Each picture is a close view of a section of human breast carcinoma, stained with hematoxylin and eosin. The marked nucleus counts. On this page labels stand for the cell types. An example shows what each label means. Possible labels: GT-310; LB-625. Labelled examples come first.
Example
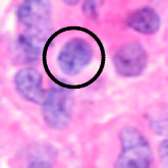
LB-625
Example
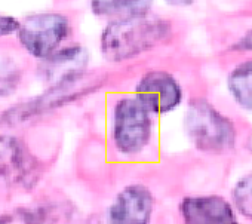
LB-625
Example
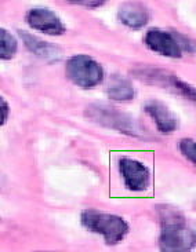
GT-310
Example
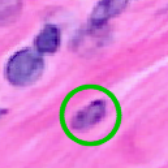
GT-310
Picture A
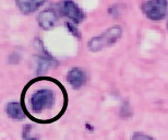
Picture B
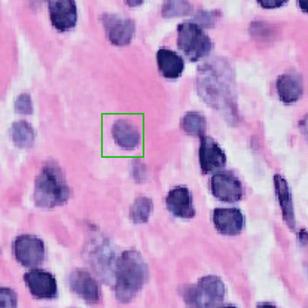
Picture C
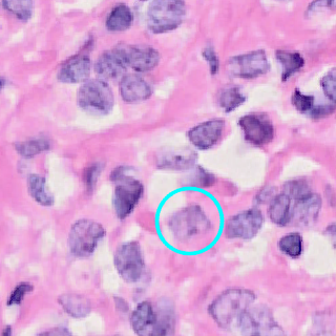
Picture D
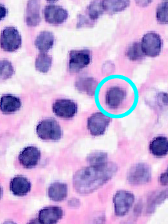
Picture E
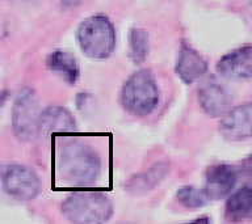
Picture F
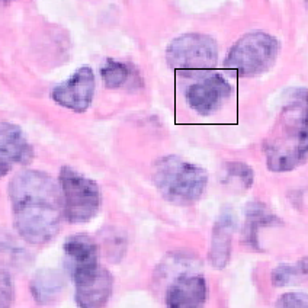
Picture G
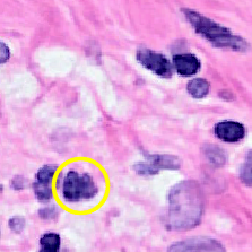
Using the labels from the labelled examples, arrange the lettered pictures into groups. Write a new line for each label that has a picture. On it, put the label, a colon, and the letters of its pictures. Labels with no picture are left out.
GT-310: A, B, D, G
LB-625: C, E, F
